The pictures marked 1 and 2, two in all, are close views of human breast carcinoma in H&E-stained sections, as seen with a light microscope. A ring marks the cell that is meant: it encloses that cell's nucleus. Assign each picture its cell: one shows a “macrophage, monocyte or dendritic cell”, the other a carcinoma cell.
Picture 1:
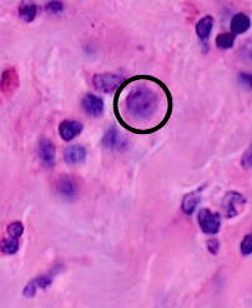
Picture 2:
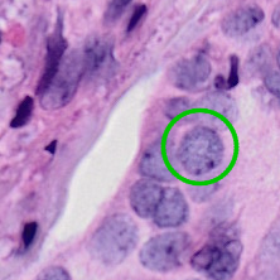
1: macrophage, monocyte or dendritic cell
2: carcinoma cell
